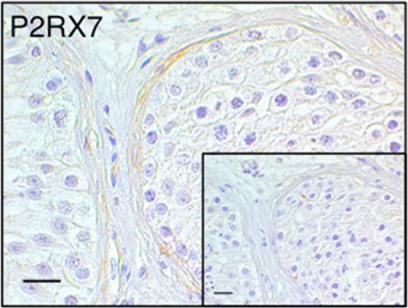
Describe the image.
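Testis with adjacent seminiferous tubules, showing peritubular cells in the tubular wall. The tubules are filled with rounded cells with round, blue nuclei and pale cytoplasm that carry no brown stain. Each tubule is surrounded by a narrow wall of several layers of flattened, elongated cells with thin, spindle-shaped nuclei, and faint brown stain runs along this wall. Between the tubules lies loose, pale connective tissue with scattered elongated nuclei. The inset shows similar tissue without brown stain.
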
